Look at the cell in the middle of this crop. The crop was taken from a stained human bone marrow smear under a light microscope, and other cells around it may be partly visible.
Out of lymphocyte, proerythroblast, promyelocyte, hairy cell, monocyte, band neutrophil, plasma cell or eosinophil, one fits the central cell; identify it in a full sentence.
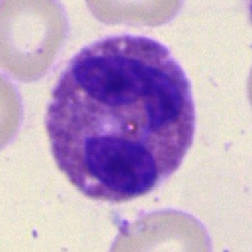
Answering briefly, the cell in the middle is an eosinophil.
